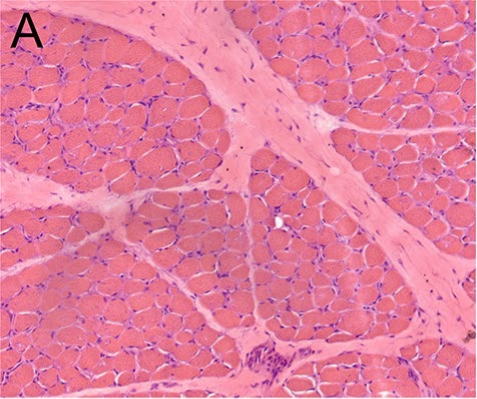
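Cross-sectioned skeletal muscle fibers with pink cytoplasm are grouped into fascicles separated by broad bands of paler pink connective tissue, with small dark purple nuclei at the fiber edges. The fibers vary considerably in diameter, with small polygonal fibers lying among larger ones, which is a variability in myofiber size.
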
